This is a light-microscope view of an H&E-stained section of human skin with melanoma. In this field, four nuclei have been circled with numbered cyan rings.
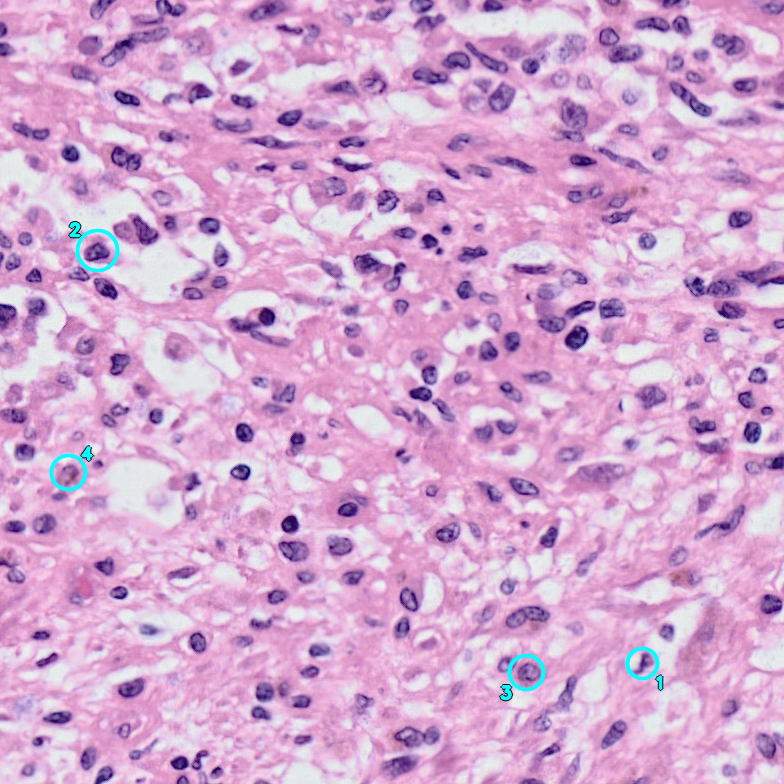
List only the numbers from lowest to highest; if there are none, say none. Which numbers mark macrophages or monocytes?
2, 3, 4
